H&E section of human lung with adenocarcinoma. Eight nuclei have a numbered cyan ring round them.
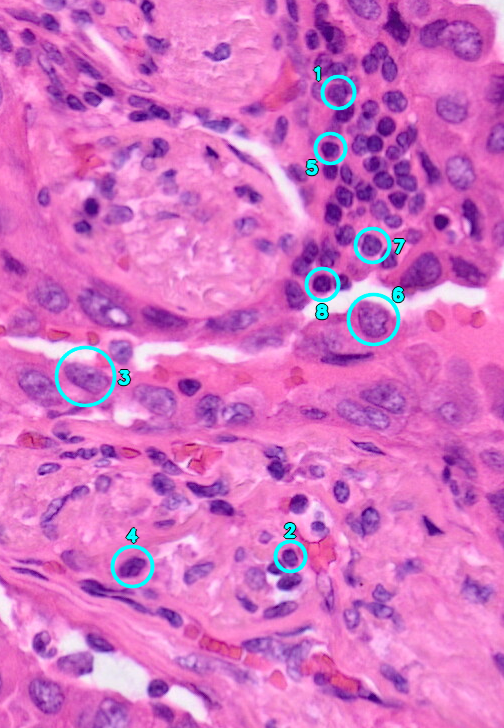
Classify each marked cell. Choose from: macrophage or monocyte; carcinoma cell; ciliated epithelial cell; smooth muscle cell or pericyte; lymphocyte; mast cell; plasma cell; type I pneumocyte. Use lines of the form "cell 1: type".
cell 1: lymphocyte
cell 2: lymphocyte
cell 3: carcinoma cell
cell 4: plasma cell
cell 5: lymphocyte
cell 6: carcinoma cell
cell 7: lymphocyte
cell 8: lymphocyte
